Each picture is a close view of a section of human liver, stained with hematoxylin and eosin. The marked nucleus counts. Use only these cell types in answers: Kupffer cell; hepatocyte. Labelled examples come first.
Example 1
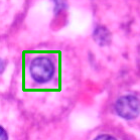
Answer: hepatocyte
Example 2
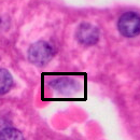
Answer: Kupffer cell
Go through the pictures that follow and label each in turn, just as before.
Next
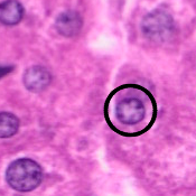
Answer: hepatocyte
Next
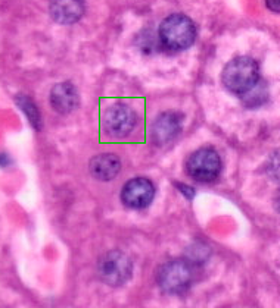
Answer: hepatocyte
